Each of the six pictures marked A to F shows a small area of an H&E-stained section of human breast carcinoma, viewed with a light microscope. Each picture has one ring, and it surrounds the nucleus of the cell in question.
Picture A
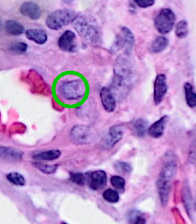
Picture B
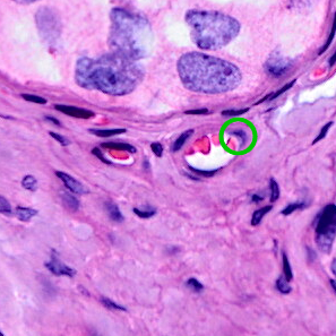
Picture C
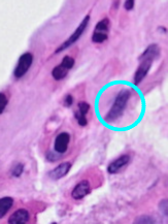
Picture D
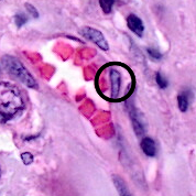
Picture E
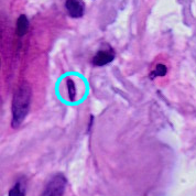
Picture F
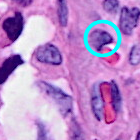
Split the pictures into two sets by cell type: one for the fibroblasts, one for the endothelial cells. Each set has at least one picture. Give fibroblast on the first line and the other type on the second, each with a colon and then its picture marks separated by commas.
fibroblast: C, E
endothelial cell: A, B, D, F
